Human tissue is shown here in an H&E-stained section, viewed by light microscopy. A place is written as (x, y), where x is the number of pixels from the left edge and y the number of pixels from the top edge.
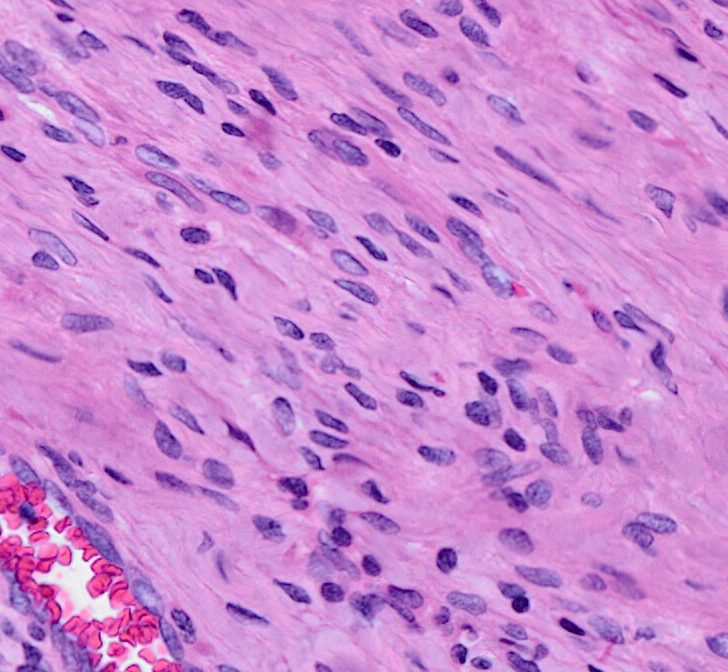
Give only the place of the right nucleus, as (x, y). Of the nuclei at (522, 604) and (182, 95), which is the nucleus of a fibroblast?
(182, 95)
